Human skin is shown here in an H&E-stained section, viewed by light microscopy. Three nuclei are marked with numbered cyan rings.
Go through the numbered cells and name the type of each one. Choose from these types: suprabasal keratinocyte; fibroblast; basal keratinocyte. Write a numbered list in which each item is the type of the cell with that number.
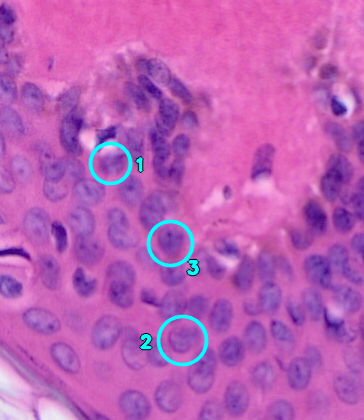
1. basal keratinocyte
2. suprabasal keratinocyte
3. basal keratinocyte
